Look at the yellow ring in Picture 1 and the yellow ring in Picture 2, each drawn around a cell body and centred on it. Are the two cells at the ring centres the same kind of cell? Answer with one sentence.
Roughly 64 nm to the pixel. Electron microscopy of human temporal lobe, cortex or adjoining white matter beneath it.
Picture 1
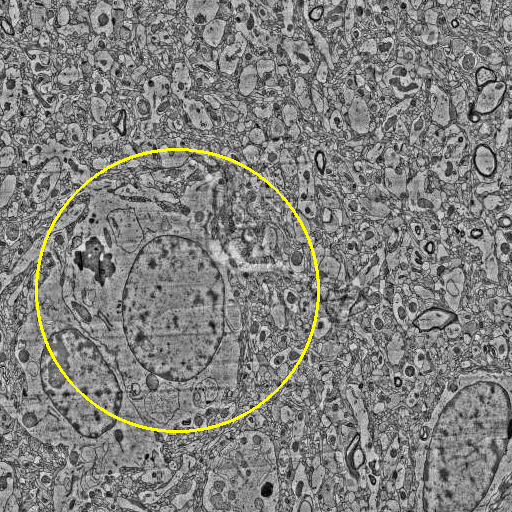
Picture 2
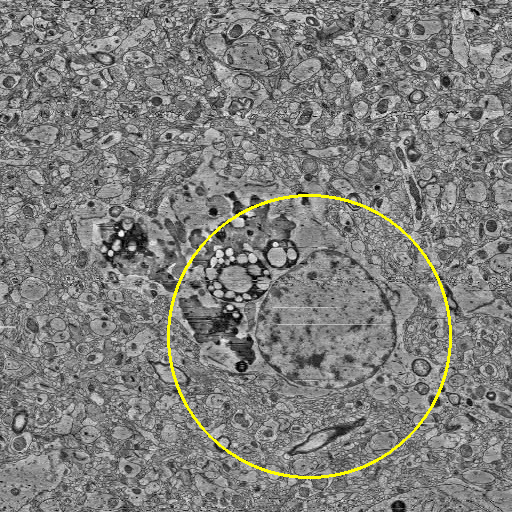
Yes, both are the same kind of cell.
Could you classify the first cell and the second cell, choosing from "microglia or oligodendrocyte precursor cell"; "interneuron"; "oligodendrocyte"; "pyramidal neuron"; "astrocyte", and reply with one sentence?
The cell in the first picture is an astrocyte, and so is the one in the second.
